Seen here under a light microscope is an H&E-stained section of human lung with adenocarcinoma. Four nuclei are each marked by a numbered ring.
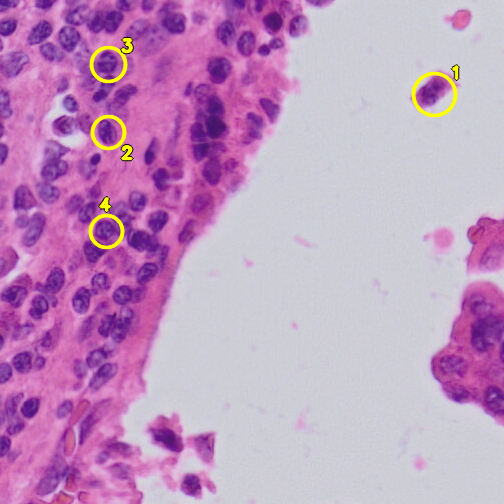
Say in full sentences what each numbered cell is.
Cell 1 is a macrophage or monocyte. Cells 2, 3 and 4 are lymphocytes.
